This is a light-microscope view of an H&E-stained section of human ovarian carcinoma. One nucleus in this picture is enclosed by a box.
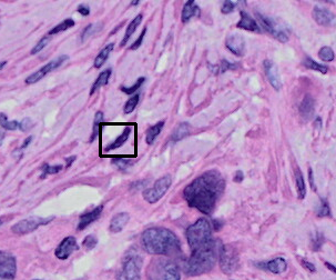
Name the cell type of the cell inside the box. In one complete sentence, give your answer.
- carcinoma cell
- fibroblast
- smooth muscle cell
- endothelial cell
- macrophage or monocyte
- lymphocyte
As far as its identity is concerned, the cell inside the box is a fibroblast.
